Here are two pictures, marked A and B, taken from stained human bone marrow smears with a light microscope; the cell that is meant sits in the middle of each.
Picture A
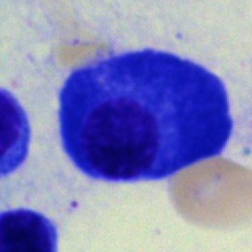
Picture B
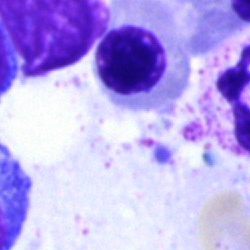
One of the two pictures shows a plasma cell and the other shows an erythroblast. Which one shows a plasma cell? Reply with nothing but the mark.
A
